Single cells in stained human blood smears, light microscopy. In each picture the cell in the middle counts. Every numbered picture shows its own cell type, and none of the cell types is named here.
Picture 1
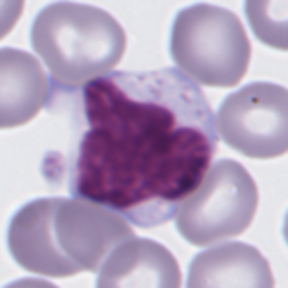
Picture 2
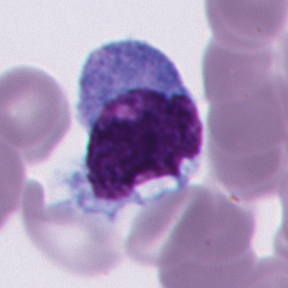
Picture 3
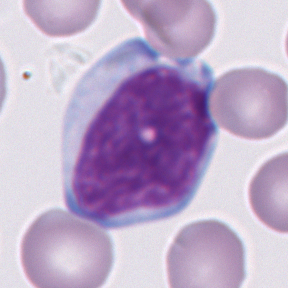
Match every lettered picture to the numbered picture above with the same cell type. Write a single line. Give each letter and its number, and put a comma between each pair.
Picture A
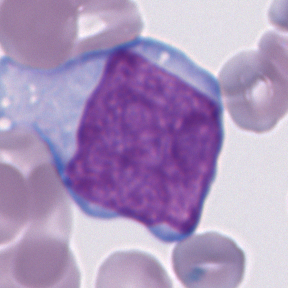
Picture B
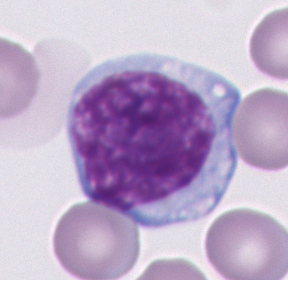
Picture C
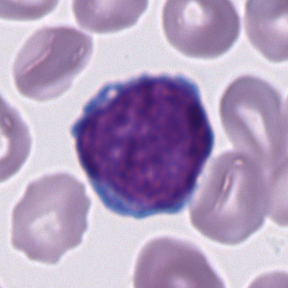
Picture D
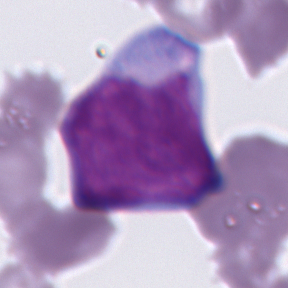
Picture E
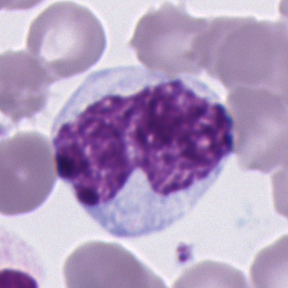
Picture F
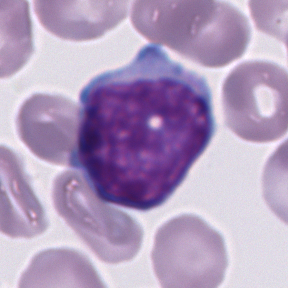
A 3, B 3, C 3, D 3, E 2, F 3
